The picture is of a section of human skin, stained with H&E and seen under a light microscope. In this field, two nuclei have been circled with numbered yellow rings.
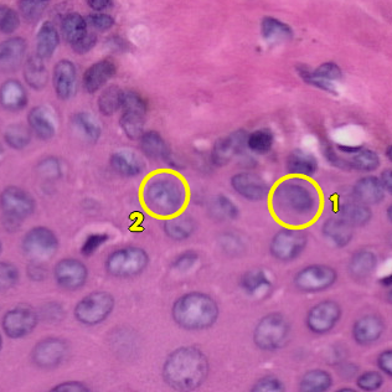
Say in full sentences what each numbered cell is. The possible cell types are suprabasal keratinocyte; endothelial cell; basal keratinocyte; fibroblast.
Cell 1 is a basal keratinocyte. Cell 2 is a suprabasal keratinocyte.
